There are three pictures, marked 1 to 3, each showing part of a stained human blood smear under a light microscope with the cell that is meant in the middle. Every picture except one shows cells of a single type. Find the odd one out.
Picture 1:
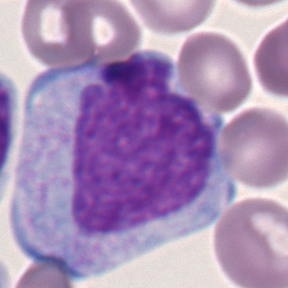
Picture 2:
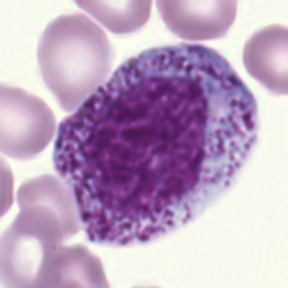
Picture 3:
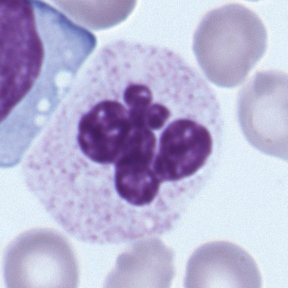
3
